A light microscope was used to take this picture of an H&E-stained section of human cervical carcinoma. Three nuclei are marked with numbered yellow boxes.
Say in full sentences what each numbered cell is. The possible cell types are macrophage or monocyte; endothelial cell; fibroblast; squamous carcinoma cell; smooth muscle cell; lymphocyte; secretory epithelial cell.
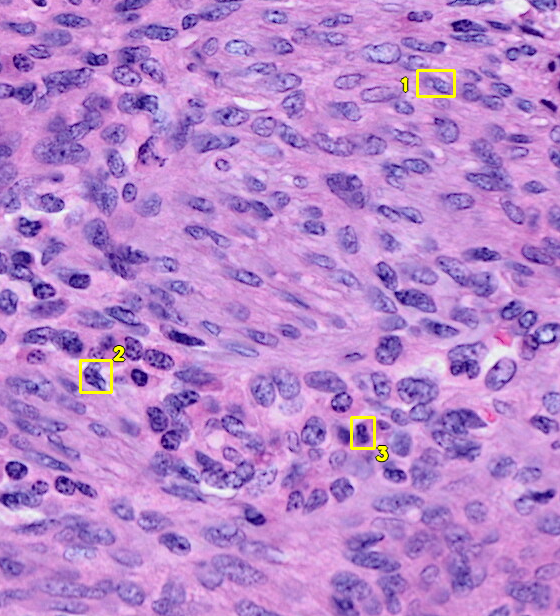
Cell 1 is a smooth muscle cell, cell 2 is a lymphocyte and cell 3 is a lymphocyte.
